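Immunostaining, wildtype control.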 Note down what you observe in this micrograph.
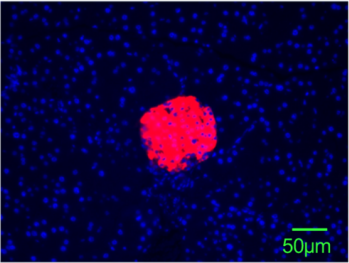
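This is a section of pancreas with a single pancreatic islet in the centre, its cells filled with red staining. The islet forms a compact, roughly round island whose red staining is dense and fairly even throughout. Around it, the blue nuclei of the surrounding pancreatic tissue are spread fairly evenly across the field, and none of these surrounding cells stain red. The sharp boundary between the red island and the unstained surroundings shows how the islet stands apart as a discrete cluster within the gland.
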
